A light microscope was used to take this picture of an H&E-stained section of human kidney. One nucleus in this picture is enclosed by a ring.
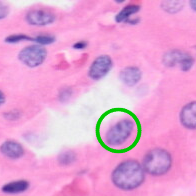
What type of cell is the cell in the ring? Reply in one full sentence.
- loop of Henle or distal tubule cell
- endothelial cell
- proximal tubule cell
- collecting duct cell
The classification of the cell in the ring is as a loop of Henle or distal tubule cell.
